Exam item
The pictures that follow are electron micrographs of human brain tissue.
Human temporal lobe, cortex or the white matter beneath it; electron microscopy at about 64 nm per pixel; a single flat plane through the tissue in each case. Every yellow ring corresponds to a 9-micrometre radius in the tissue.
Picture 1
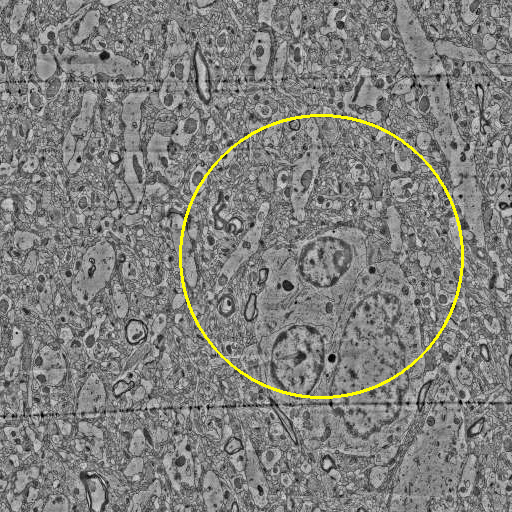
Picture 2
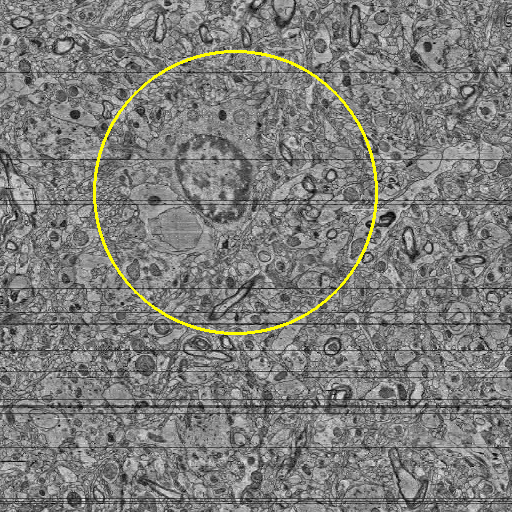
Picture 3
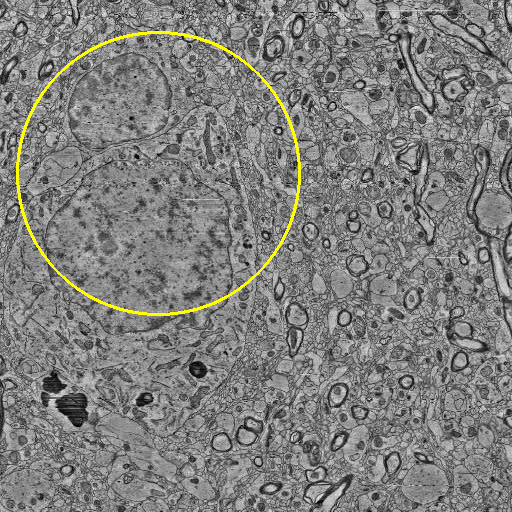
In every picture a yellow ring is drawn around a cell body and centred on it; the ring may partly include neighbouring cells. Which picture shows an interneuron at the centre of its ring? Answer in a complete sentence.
The cell at the centre of the ring in Picture 3 is the one asked for.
